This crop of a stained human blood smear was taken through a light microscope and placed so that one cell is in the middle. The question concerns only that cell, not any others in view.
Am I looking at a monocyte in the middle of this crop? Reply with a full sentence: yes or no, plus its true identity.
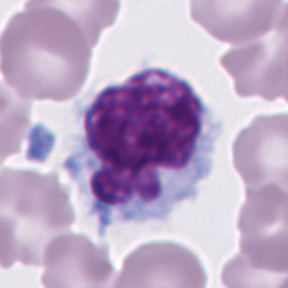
No, the centrally located cell is a hairy cell rather than a monocyte.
